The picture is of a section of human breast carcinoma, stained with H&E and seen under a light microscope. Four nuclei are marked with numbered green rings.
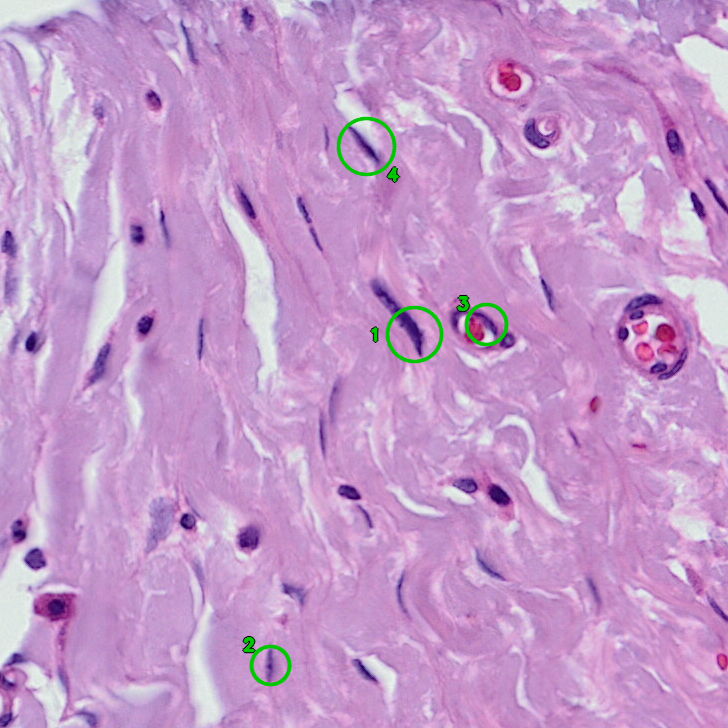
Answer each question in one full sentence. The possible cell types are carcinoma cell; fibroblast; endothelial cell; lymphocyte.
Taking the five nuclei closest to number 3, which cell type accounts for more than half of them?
Around number 3, most of the five nearest nuclei are those of fibroblasts.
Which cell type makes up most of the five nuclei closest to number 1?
The majority of the five nuclei closest to number 1 belong to fibroblasts.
